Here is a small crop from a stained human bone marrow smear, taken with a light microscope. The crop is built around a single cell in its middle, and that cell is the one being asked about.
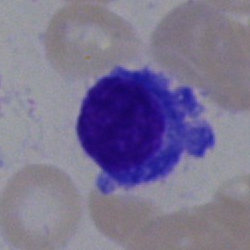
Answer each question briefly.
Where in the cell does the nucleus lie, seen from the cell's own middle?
left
